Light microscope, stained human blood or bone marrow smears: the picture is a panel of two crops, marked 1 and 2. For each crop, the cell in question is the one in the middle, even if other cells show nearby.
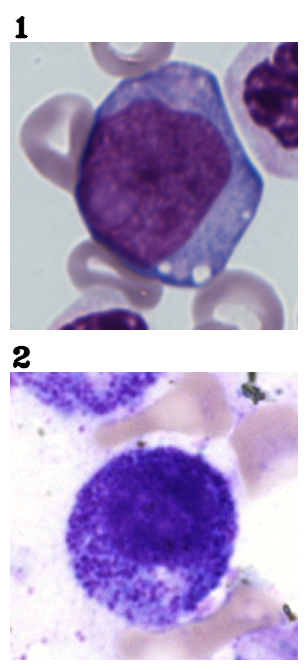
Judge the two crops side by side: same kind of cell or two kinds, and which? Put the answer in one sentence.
Yes, both crops show promyelocytes as the central cells.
